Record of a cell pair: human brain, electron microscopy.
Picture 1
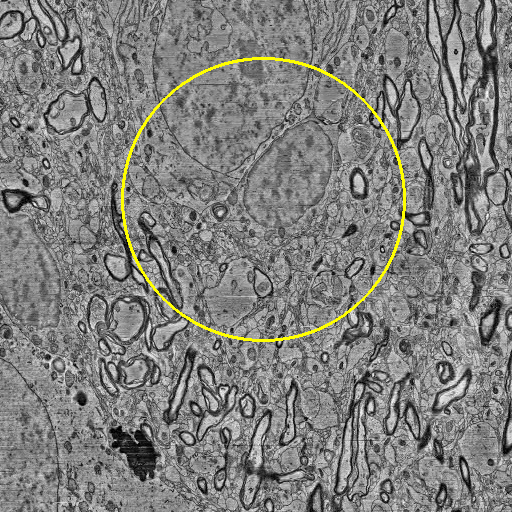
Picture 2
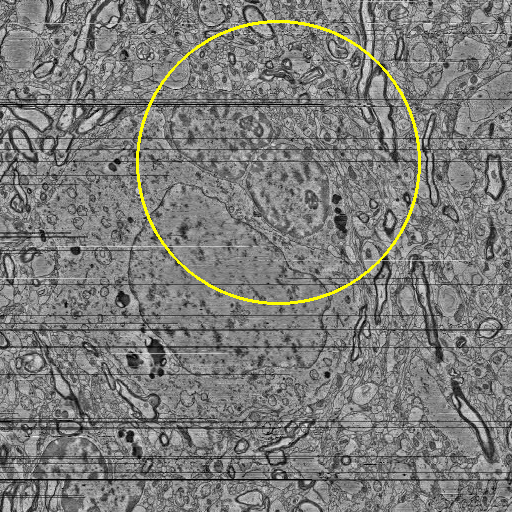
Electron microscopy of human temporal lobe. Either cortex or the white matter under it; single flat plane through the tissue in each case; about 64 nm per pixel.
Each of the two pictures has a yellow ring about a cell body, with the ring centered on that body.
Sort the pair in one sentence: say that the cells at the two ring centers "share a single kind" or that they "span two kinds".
The cells centered in the rings of Pictures 1 and 2 share a single kind.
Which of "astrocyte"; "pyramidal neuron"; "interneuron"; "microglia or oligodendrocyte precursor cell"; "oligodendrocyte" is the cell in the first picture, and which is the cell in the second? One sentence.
Both the first and the second picture show an oligodendrocyte in the ring.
